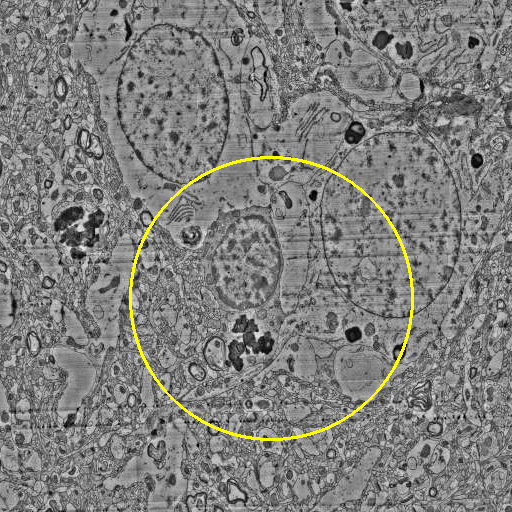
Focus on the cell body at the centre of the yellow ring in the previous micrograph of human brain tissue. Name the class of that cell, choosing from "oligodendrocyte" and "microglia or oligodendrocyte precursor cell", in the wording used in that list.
oligodendrocyte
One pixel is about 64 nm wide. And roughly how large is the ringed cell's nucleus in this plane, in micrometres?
The ringed cell's nucleus measures approximately 6 by 5 micrometres in this plane.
